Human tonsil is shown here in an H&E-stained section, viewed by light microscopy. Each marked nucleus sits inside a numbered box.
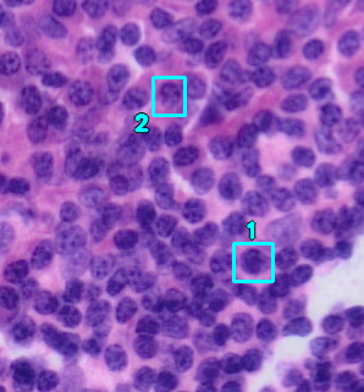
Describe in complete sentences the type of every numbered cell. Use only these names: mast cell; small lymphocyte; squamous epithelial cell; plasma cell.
Cell 1 is a small lymphocyte and cell 2 is a plasma cell.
